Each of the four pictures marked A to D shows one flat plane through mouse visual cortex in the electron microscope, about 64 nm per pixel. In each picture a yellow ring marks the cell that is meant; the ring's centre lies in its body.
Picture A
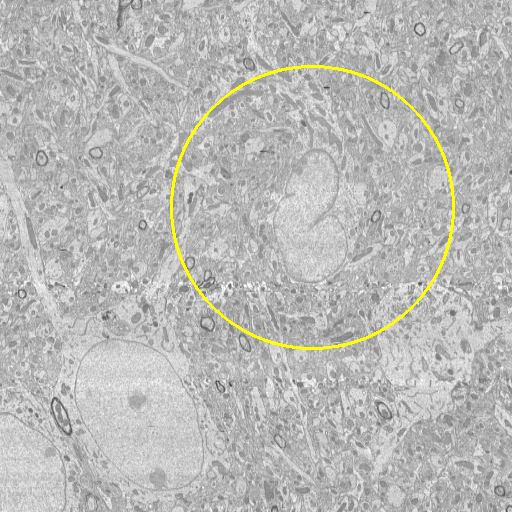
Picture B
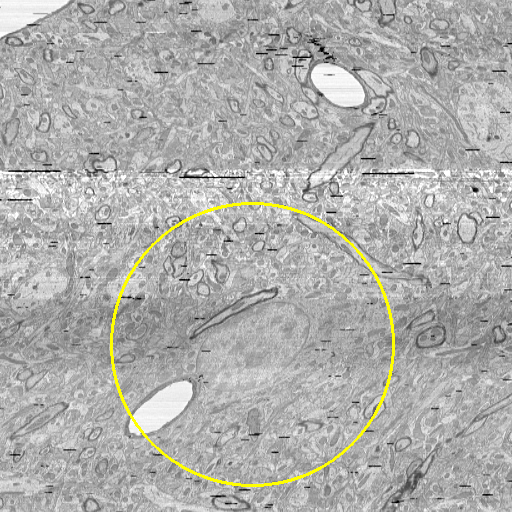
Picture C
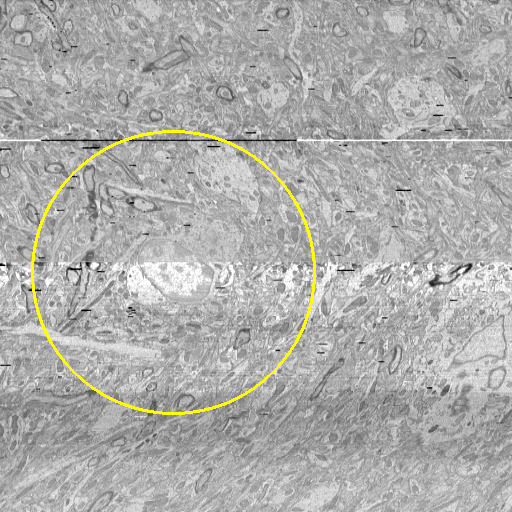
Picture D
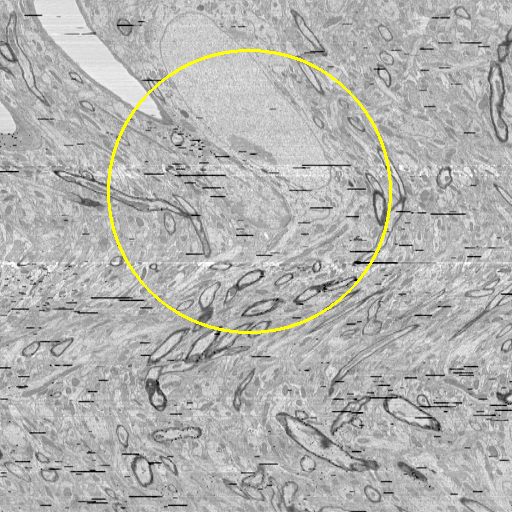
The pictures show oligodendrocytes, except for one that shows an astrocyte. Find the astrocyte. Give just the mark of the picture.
A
